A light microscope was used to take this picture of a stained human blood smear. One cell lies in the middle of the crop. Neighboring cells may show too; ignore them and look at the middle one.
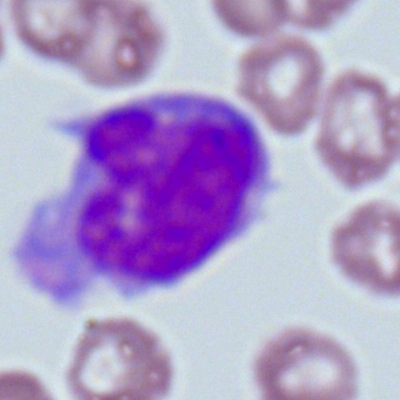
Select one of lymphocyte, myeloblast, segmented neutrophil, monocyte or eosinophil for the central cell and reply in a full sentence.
For this crop, the central cell is a monocyte.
